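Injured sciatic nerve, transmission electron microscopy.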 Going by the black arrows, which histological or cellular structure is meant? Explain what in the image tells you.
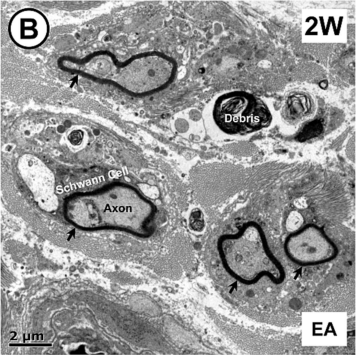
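Thin, small-diameter myelin sheaths. The arrows point to thin dark rings around pale axon profiles. The dark rings lie within the cytoplasm of surrounding cells.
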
